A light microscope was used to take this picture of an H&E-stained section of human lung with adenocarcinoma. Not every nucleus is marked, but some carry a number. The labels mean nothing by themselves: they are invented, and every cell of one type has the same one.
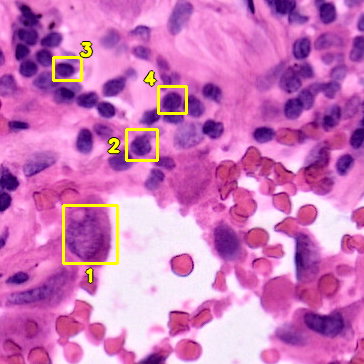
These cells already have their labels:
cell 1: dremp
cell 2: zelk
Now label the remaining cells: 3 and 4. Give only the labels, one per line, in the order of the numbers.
zelk
zelk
